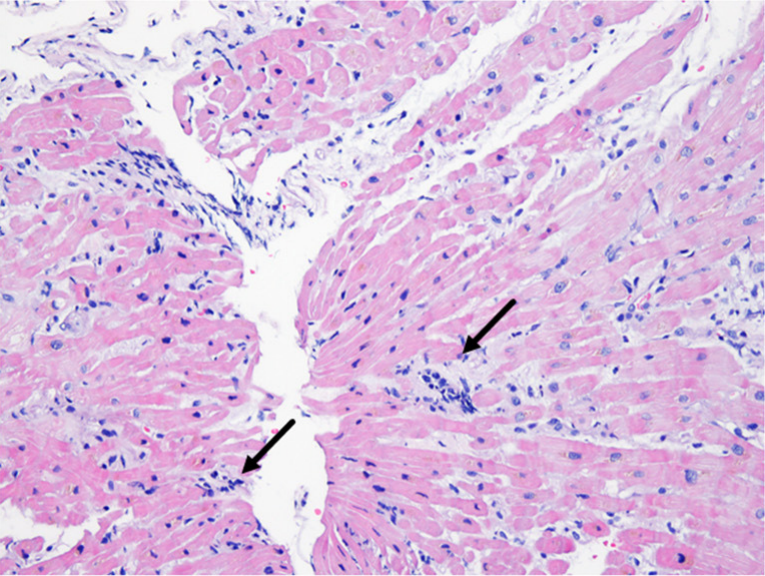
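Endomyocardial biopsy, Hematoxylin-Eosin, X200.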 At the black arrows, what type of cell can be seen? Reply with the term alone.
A: Lymphocyte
